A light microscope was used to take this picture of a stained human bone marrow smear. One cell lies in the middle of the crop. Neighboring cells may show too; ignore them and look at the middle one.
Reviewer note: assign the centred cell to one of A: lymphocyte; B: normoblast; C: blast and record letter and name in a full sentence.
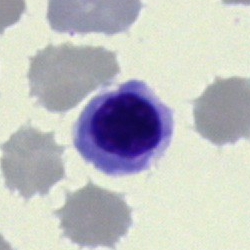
Occupying the middle of the crop is a normoblast, hence option B is correct.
